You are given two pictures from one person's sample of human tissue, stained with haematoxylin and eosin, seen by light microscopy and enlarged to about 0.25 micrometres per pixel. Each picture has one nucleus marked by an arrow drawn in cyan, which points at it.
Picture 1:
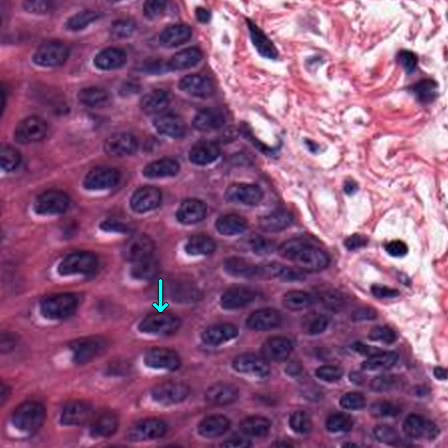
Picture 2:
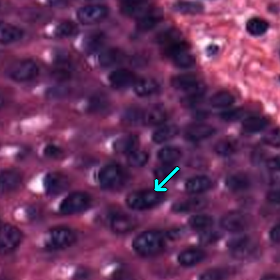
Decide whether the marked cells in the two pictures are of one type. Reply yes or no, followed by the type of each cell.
Yes, both are squamous epithelial cells.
